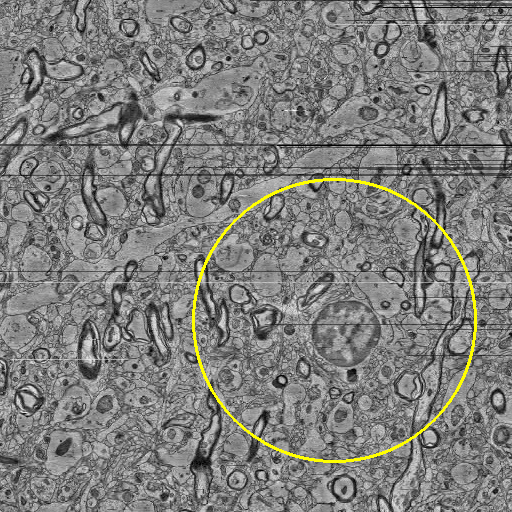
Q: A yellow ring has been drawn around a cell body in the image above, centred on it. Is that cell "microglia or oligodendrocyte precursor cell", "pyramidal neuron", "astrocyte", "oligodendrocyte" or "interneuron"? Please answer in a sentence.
The ring surrounds the cell body of a microglial cell or oligodendrocyte precursor cell.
